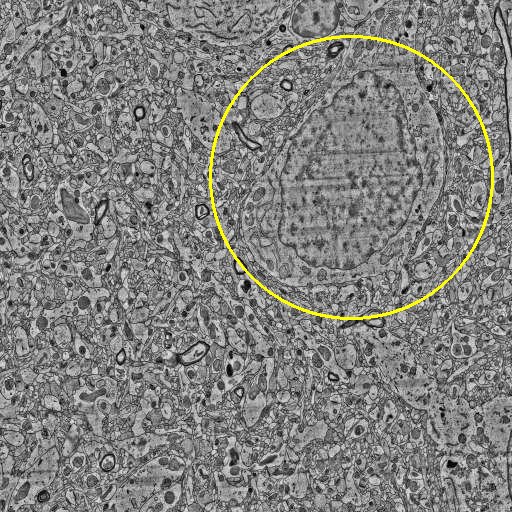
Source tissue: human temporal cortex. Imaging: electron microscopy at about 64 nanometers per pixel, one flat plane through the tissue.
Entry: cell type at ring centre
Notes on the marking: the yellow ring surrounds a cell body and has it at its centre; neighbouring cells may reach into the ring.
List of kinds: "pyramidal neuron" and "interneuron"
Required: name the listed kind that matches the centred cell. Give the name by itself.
interneuron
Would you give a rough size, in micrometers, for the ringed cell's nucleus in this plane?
In this plane the nucleus spans approximately 11 by 9 micrometers.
